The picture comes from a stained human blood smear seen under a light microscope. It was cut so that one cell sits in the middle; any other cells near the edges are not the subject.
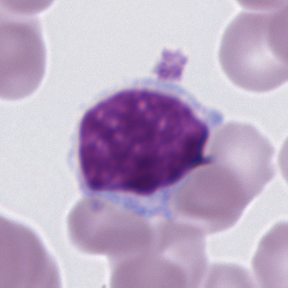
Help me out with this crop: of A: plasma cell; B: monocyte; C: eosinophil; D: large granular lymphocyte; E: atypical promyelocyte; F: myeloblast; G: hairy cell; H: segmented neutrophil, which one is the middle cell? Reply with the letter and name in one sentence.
The cell occupying the centre is a large granular lymphocyte; option D is thus the correct choice.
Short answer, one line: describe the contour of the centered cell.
The edge is uneven, and this unevenness takes the form of ragged stretches or projections.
